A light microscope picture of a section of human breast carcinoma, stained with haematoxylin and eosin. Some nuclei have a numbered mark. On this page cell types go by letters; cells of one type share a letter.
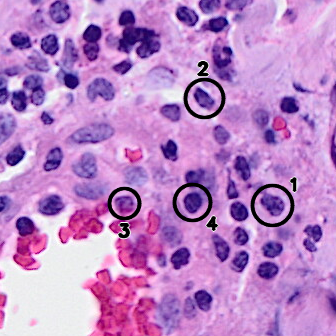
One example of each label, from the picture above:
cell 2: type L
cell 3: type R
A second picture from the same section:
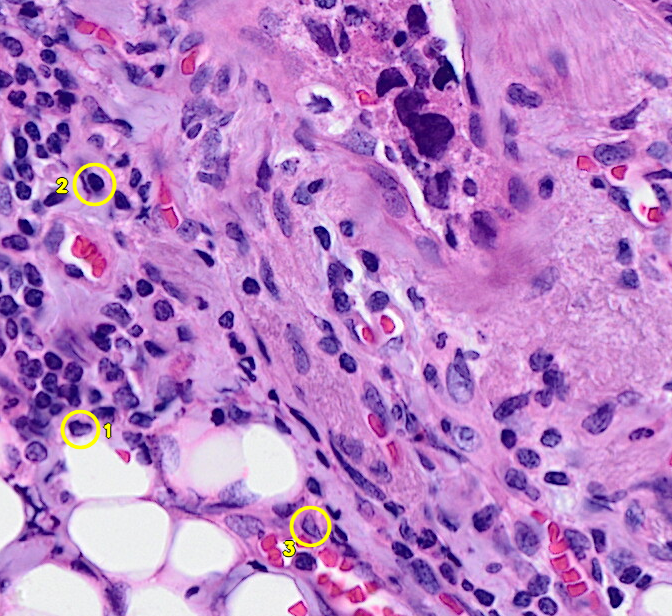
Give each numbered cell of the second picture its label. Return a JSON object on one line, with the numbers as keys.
{"1": "type L", "2": "type L", "3": "type R"}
